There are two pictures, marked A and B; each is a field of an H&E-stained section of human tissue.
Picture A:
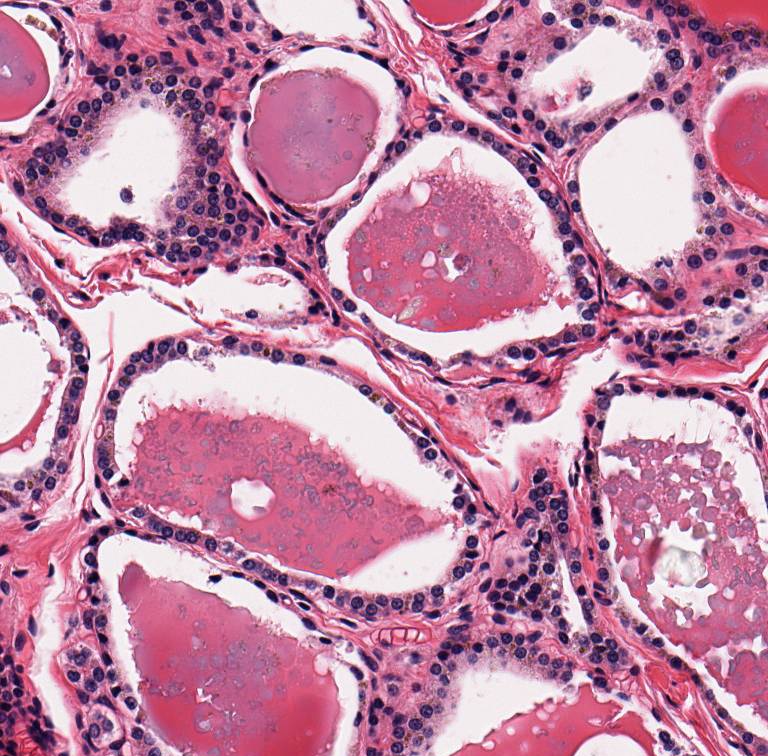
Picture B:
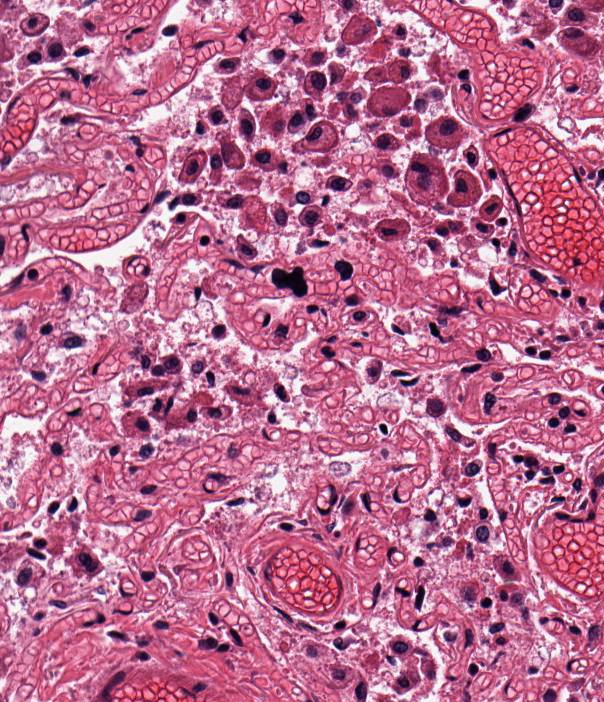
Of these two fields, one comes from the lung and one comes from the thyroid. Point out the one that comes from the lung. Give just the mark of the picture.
B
